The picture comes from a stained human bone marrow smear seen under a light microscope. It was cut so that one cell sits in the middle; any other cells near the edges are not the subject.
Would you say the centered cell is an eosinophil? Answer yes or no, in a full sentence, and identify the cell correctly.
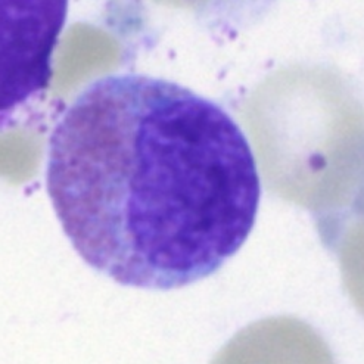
Yes, the one cell at the centre is an eosinophil.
